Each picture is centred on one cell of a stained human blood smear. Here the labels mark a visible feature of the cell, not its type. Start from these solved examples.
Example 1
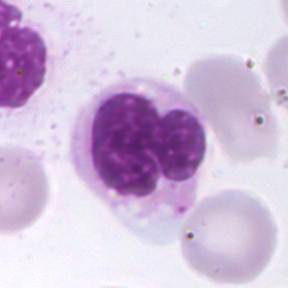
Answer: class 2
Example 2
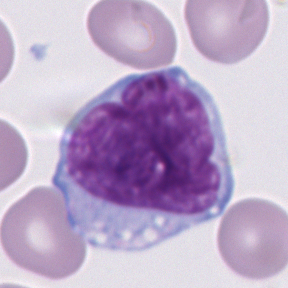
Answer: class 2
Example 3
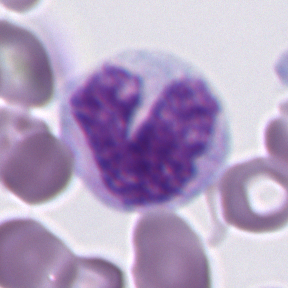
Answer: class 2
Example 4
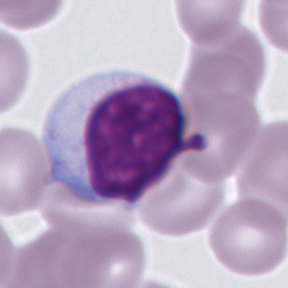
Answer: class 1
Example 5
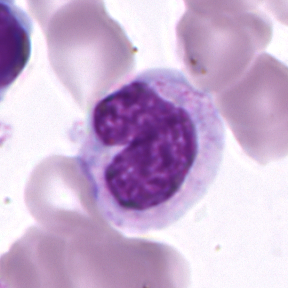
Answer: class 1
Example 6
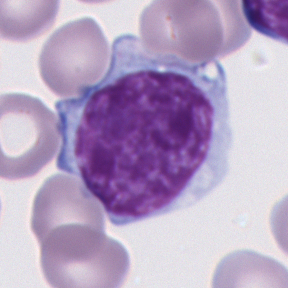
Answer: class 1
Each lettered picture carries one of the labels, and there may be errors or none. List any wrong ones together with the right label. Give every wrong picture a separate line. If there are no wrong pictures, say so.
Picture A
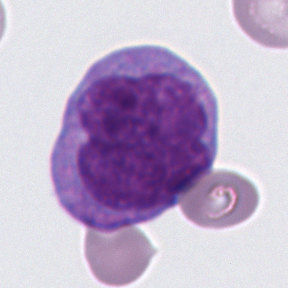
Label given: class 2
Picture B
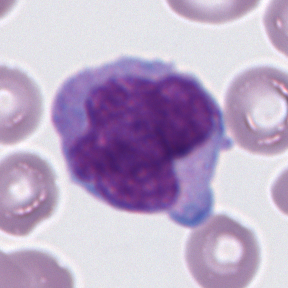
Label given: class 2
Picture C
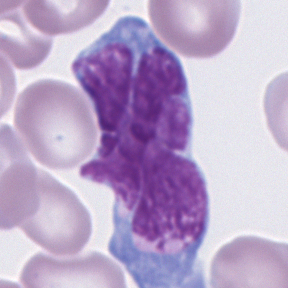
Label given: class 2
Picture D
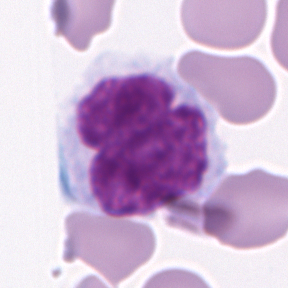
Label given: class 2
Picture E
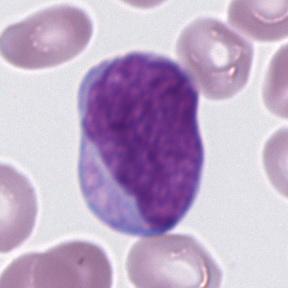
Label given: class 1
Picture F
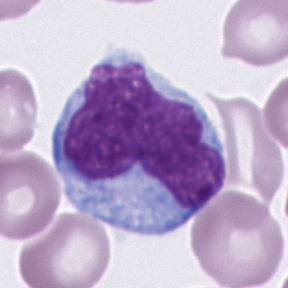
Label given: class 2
All correct.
